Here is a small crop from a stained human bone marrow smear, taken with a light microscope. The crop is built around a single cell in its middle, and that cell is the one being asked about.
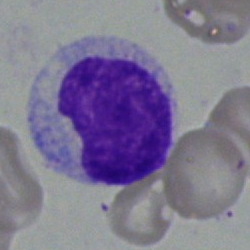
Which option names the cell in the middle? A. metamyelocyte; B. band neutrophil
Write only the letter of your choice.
A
